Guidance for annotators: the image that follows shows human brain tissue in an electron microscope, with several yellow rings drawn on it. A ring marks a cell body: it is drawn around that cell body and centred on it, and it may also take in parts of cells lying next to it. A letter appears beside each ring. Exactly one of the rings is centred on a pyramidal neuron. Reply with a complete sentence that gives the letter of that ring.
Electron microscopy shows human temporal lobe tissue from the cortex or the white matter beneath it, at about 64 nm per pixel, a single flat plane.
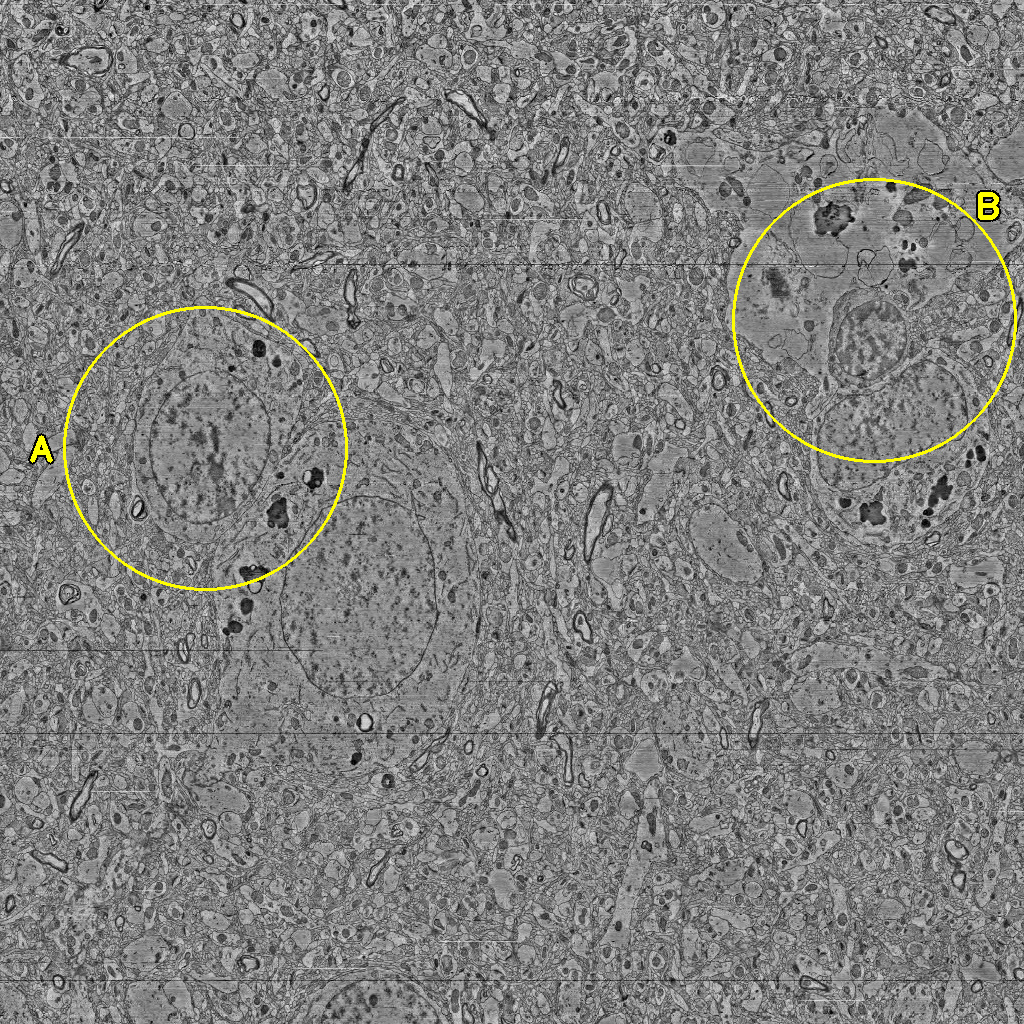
The ring lettered A is centred on that cell.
